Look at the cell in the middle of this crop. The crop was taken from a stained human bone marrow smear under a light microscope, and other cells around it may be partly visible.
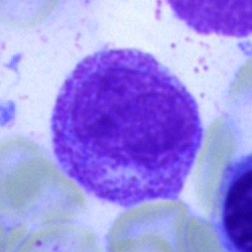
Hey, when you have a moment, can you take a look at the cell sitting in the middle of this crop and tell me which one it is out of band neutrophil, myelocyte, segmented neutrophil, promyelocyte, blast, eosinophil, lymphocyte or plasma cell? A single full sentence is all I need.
In this crop, the cell at the very middle is a myelocyte.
